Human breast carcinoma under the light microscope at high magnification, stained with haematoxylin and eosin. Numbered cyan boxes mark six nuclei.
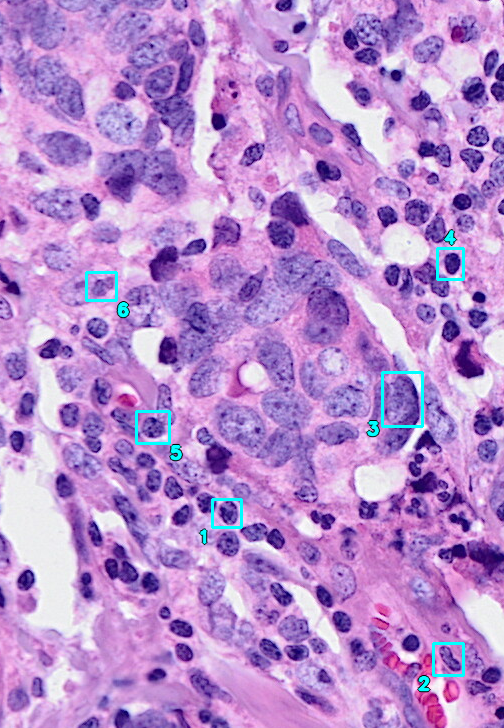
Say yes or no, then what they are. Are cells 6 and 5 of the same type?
No, with respect, cell 6 is a macrophage, monocyte or dendritic cell and cell 5 is a lymphocyte.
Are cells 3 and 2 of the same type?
No, cell 2 is an endothelial cell, while cell 3 is a carcinoma cell.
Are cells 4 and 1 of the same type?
Yes, cells 4 and 1 are lymphocytes, both of them.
